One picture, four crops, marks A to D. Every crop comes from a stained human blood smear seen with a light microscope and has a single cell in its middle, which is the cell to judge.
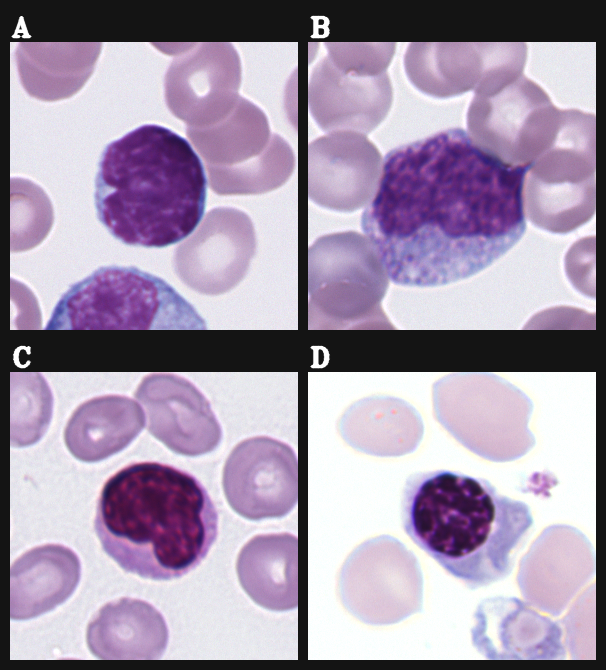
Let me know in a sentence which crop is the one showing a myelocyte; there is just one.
Of the crops given, a myelocyte is found in crop B.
